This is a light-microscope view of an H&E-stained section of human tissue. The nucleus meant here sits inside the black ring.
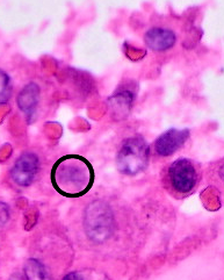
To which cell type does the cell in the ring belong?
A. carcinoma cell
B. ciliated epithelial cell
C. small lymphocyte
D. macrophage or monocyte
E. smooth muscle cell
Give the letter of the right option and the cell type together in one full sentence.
Here the correct option is D, since the cell in the ring is a macrophage or monocyte.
